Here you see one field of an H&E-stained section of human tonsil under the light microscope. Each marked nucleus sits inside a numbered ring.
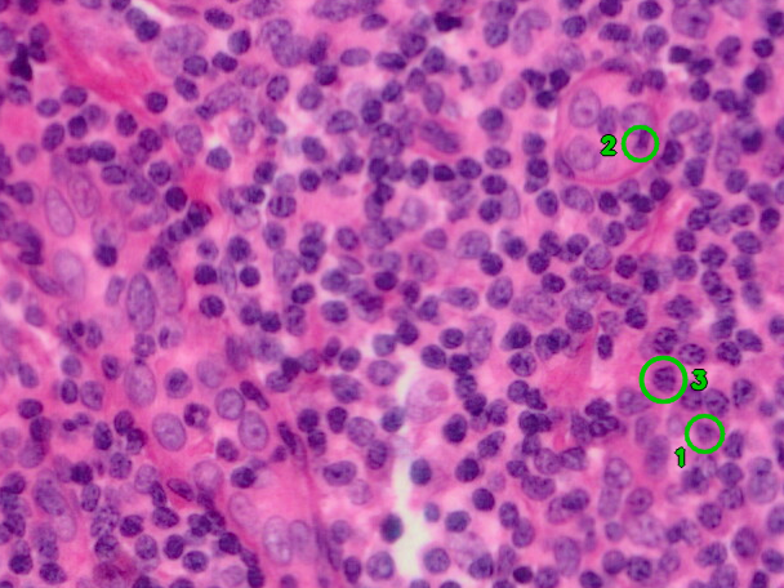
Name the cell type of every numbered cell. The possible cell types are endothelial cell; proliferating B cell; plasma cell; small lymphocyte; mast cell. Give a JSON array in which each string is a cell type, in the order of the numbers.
["plasma cell", "endothelial cell", "plasma cell"]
